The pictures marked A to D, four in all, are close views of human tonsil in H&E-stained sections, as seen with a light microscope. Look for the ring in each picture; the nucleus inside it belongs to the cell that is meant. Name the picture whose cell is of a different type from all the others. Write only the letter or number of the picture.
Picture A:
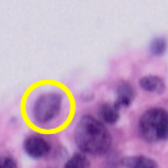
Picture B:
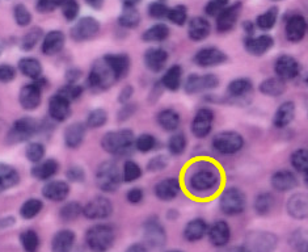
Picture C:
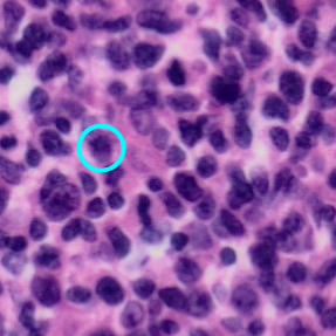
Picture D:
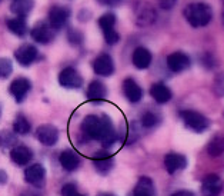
B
